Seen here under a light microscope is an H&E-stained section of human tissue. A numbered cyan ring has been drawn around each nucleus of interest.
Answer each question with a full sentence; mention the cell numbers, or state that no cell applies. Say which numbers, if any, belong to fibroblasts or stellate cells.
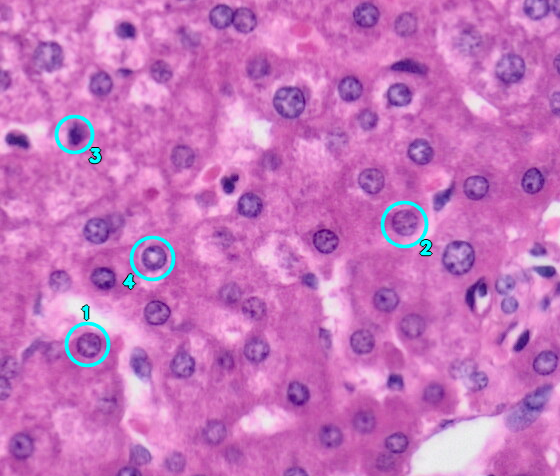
Only the cell with the number 3 is a fibroblast or stellate cell.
